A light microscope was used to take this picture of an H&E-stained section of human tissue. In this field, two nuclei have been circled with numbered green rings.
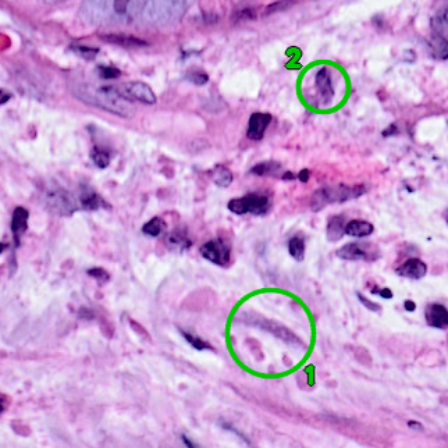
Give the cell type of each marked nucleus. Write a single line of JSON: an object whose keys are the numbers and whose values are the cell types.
{"1": "fibroblast", "2": "macrophage, monocyte or dendritic cell"}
